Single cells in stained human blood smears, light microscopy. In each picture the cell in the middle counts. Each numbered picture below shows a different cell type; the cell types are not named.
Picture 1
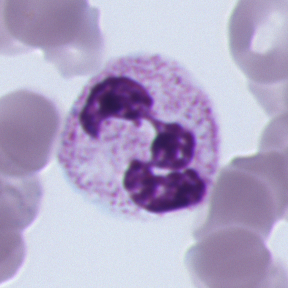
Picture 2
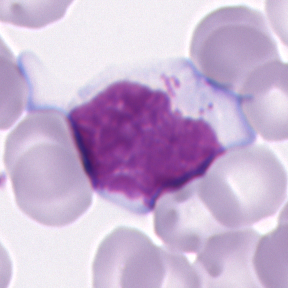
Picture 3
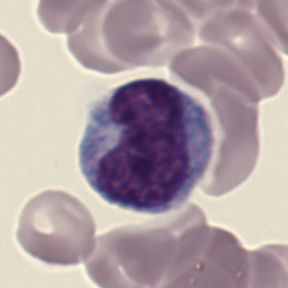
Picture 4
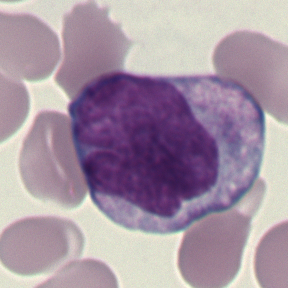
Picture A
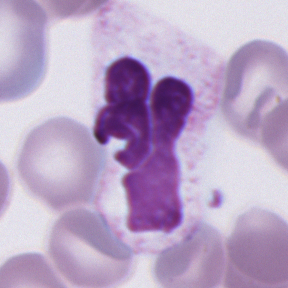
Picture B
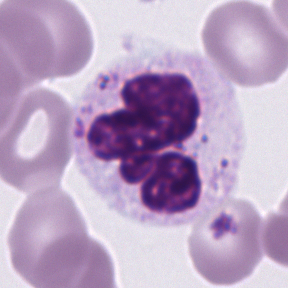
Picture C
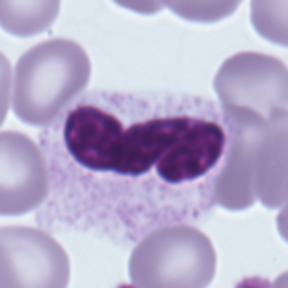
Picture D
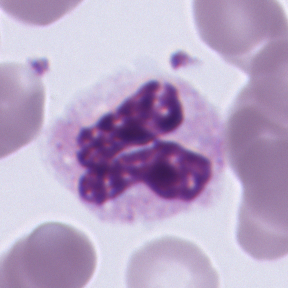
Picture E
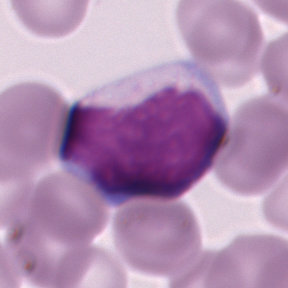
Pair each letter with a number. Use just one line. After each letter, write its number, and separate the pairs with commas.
A 1, B 1, C 1, D 1, E 2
